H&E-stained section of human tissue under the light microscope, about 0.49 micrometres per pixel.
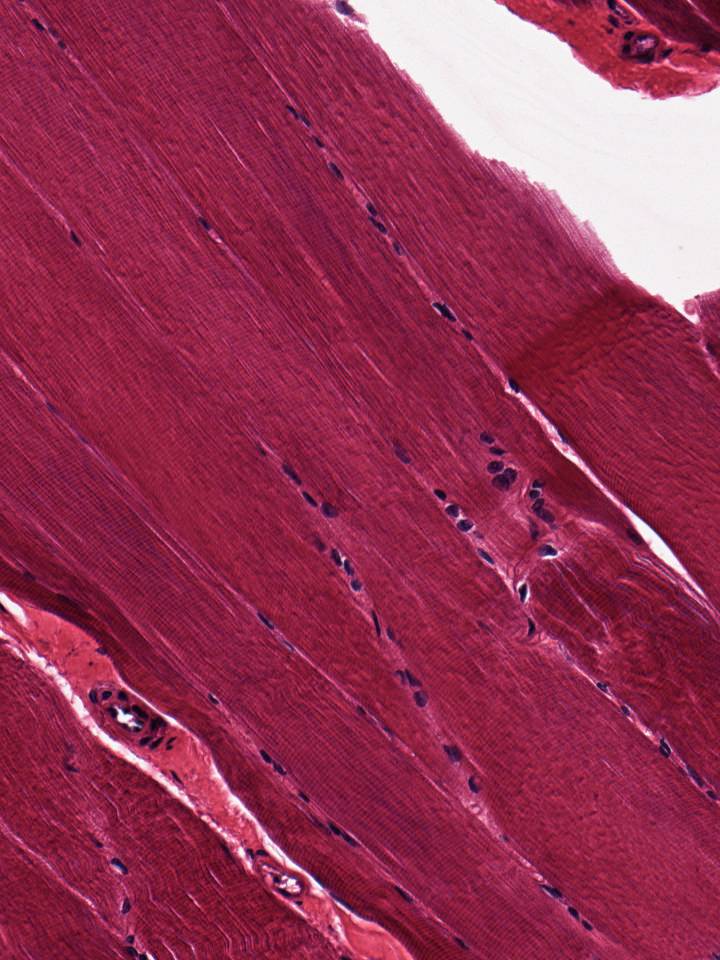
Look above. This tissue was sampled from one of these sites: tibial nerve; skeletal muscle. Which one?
skeletal muscle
